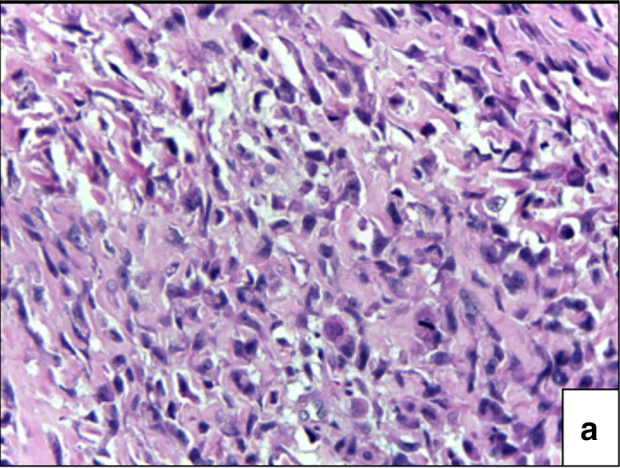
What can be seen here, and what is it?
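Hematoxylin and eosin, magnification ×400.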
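This is a densely cellular malignant tumor made up of plump and spindle-shaped cells. The nuclei are dark purple, irregular and vary considerably in size and shape, some oval and others elongated. Some cells have a moderate amount of pink cytoplasm, giving them a plumper look, while others are slender and drawn out. There is no orderly arrangement, and the cells appear loosely streaming in different directions.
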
